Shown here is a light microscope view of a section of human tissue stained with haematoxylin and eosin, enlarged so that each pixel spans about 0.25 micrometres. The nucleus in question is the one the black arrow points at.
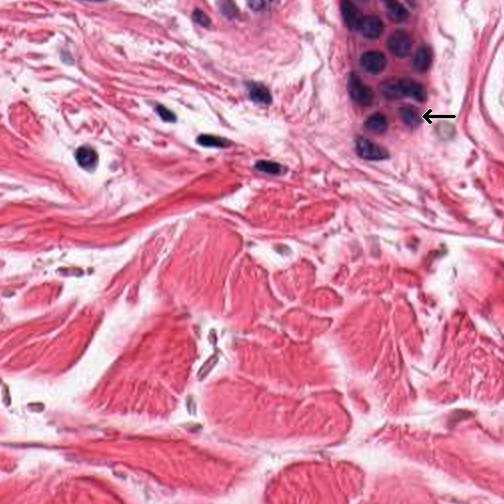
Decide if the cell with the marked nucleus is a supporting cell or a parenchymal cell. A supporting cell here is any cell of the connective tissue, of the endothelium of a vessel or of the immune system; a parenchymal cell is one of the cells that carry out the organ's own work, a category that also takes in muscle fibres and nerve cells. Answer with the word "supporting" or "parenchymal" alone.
parenchymal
